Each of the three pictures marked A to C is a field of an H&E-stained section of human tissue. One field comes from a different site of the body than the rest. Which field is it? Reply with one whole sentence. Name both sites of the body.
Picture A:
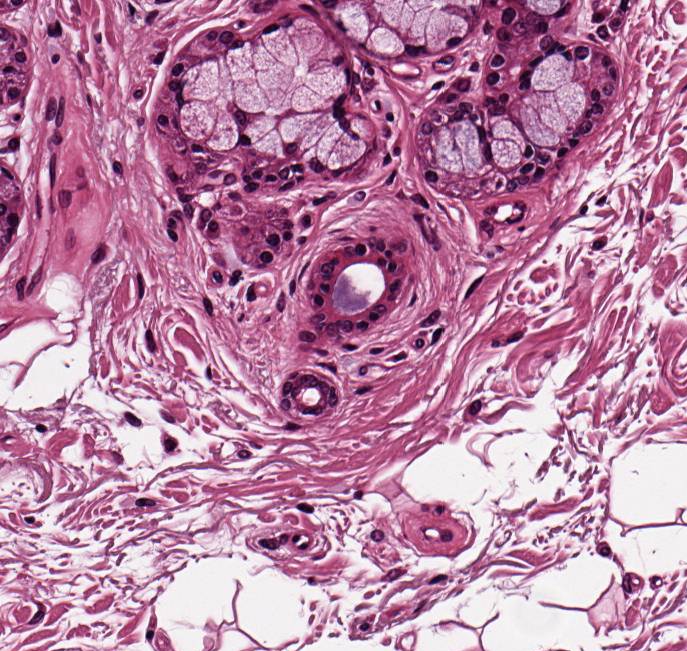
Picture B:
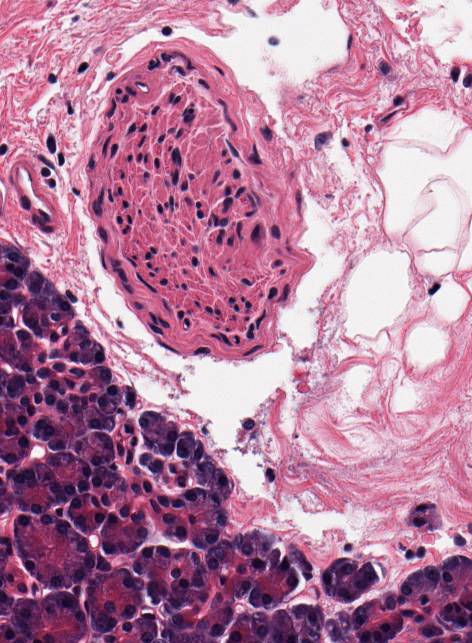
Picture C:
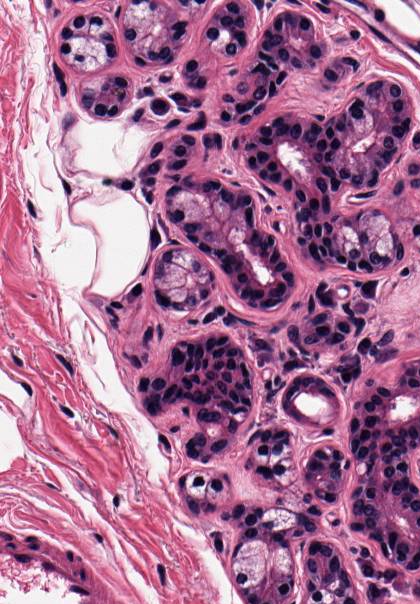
All pictures except B come from a minor salivary gland; picture B comes from the pancreas.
